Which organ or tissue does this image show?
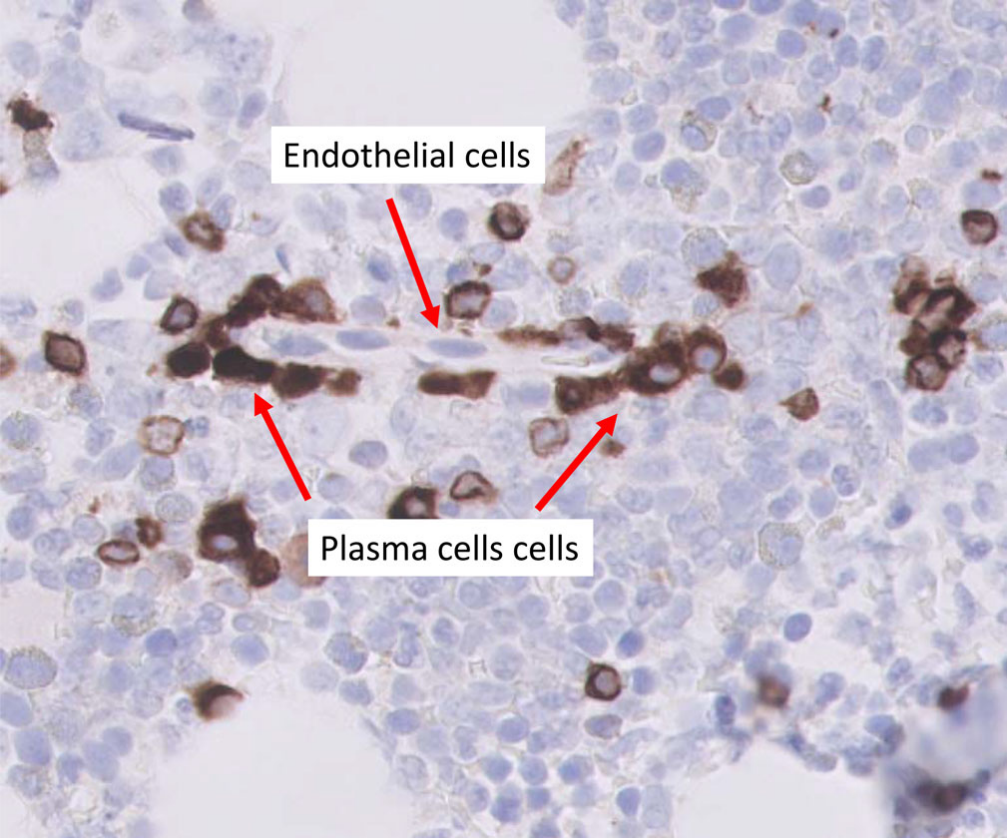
Bone marrow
